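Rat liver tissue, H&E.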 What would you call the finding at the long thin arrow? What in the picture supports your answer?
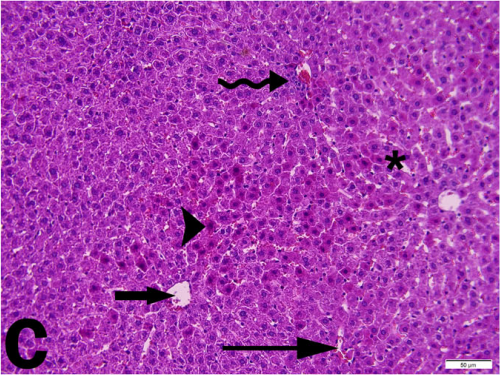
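Sinusoidal congestion. The thin arrow points to a narrow space between hepatocyte cords that holds red blood cells.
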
